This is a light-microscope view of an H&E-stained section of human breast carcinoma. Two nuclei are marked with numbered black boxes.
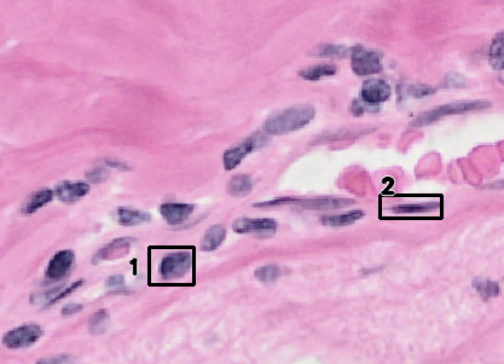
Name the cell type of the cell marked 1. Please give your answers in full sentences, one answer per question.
The marked cell bearing number 1 is a lymphocyte.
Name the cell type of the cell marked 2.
The cell with the number 2 is an endothelial cell.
